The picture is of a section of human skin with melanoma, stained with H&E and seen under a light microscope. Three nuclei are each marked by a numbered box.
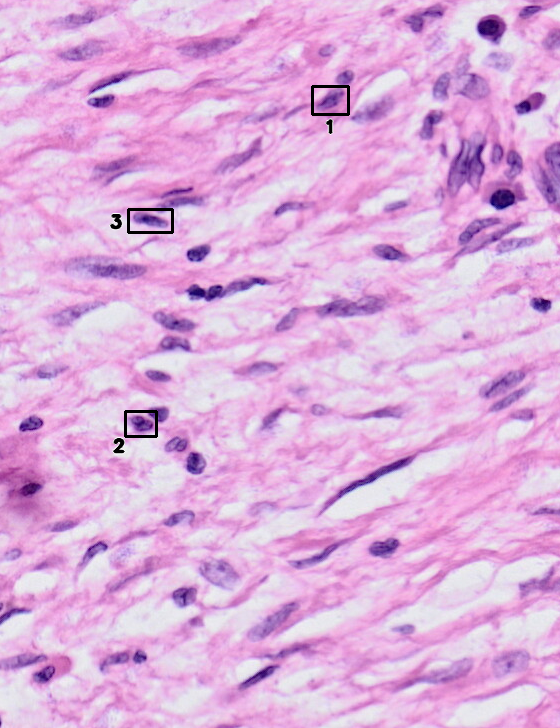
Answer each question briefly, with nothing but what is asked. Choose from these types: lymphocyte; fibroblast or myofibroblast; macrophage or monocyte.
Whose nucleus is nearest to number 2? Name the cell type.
lymphocyte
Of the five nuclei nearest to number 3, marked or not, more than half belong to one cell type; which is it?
fibroblast or myofibroblast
